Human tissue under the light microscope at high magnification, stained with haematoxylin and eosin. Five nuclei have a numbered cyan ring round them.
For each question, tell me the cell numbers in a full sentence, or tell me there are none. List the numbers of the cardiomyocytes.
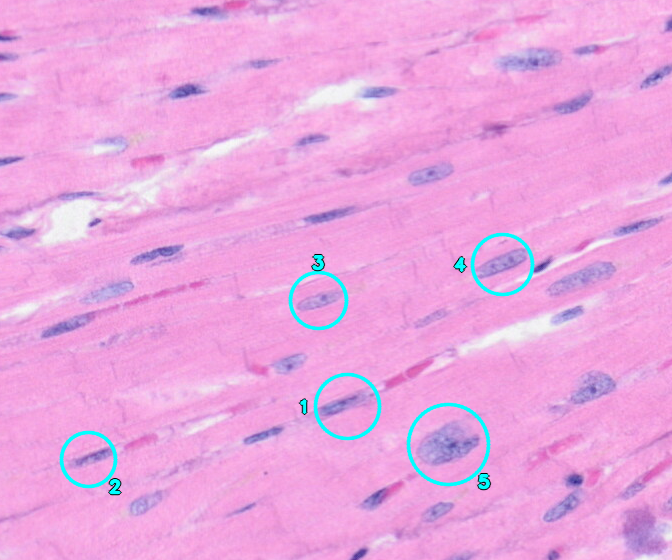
Cells 3, 4 and 5 are classified as cardiomyocytes.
